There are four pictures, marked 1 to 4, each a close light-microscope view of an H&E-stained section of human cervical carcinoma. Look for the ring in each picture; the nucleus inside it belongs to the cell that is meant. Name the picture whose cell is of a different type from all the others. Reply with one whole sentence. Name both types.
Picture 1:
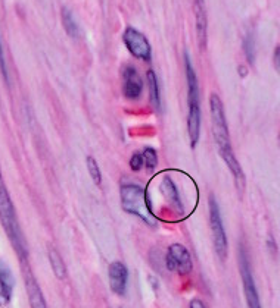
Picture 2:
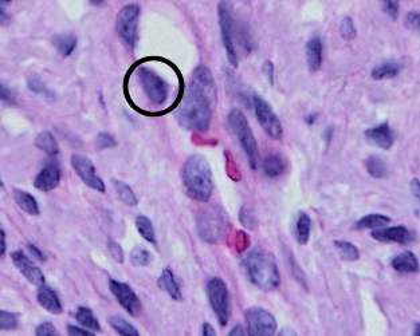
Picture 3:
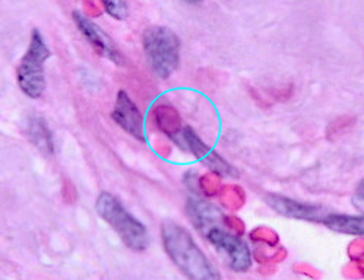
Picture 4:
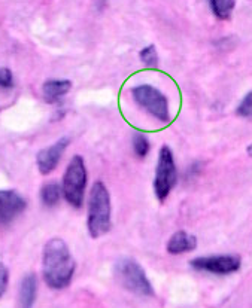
Unlike the rest, which show endothelial cells, picture 4 shows a fibroblast.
